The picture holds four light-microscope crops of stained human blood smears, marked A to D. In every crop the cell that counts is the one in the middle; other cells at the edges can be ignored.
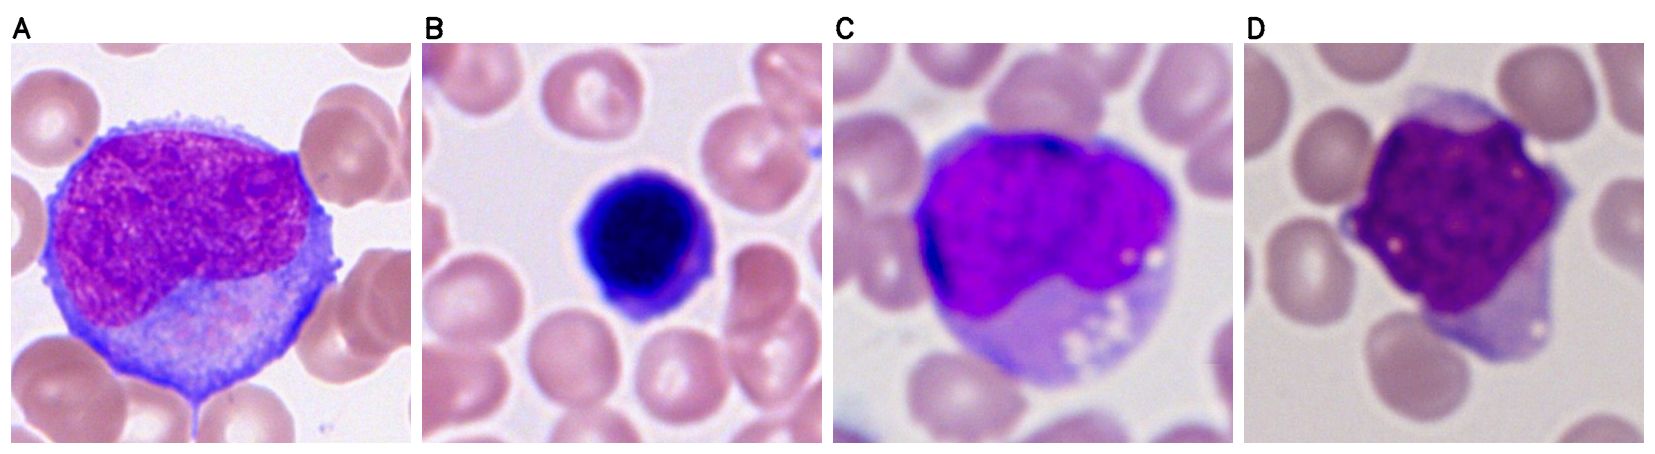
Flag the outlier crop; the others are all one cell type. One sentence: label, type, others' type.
The crops all show myeloblasts, with the exception of crop B, which shows a lymphocyte.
